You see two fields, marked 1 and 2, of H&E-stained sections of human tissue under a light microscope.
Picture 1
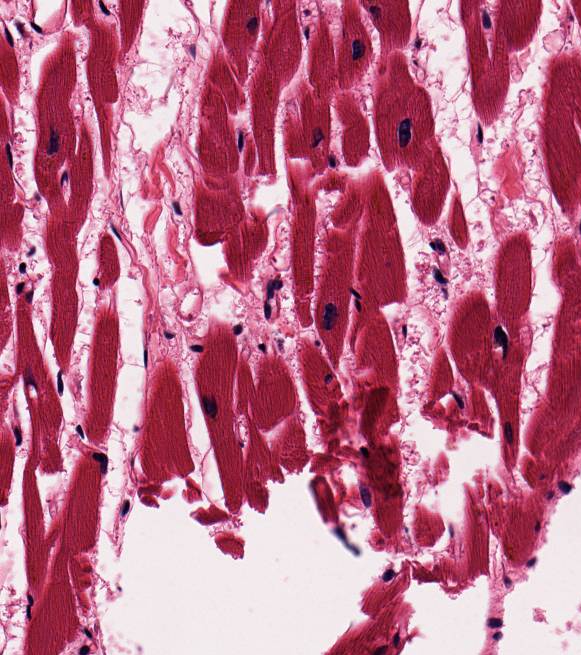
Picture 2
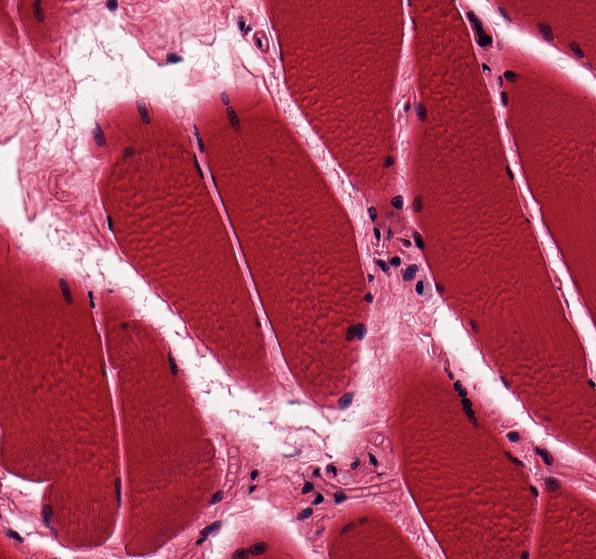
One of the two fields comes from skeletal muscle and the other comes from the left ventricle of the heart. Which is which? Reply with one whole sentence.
Picture 1 comes from the left ventricle of the heart; picture 2 comes from skeletal muscle.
